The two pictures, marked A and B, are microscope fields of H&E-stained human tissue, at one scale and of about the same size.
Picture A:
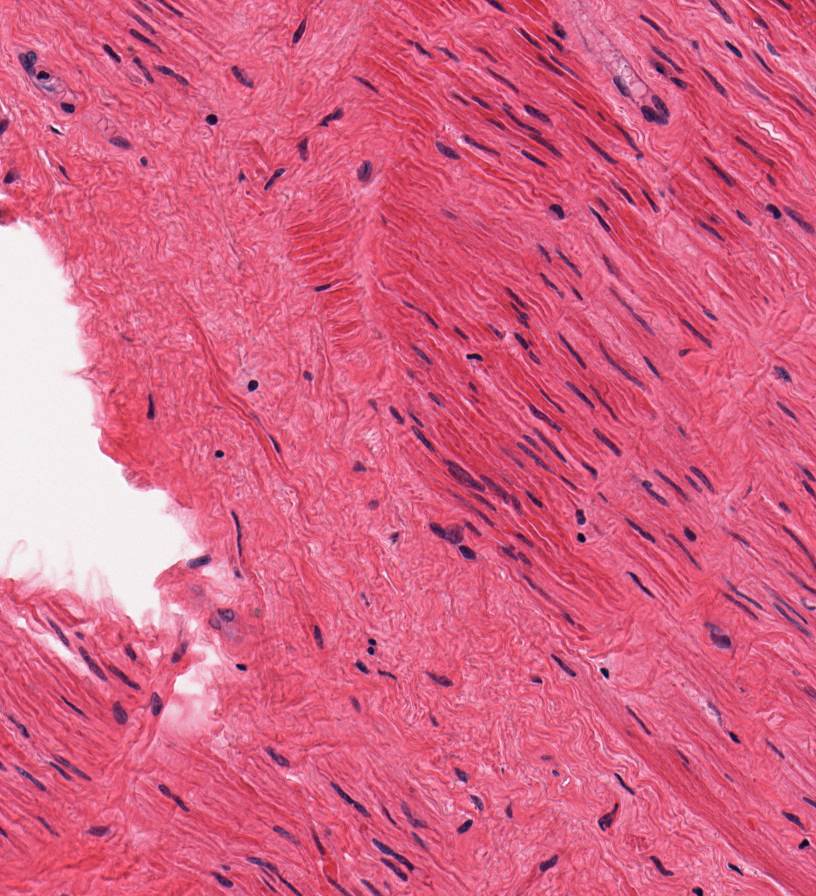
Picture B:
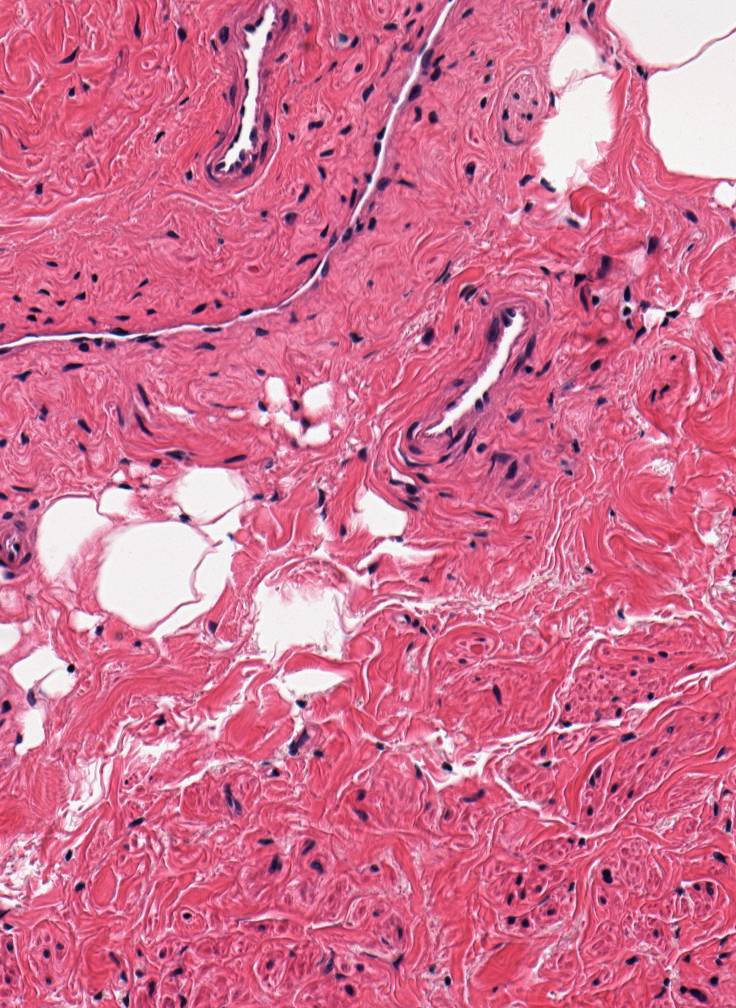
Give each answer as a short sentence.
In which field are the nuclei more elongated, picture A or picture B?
On the whole the nuclei of picture A are more drawn out than those of picture B.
